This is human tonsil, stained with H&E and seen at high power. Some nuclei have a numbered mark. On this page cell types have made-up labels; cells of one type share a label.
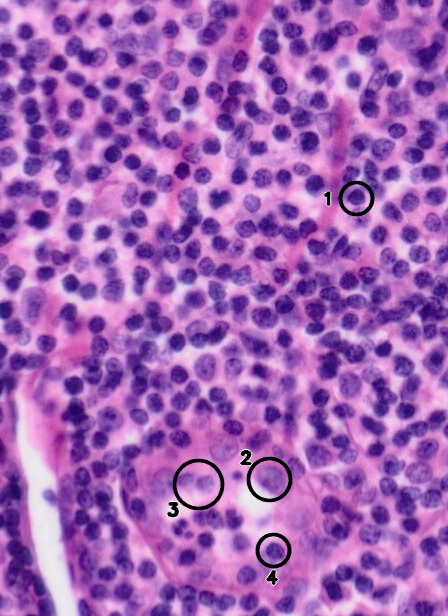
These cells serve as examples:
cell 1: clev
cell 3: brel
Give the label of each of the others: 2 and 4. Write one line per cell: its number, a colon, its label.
2: brel
4: brel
